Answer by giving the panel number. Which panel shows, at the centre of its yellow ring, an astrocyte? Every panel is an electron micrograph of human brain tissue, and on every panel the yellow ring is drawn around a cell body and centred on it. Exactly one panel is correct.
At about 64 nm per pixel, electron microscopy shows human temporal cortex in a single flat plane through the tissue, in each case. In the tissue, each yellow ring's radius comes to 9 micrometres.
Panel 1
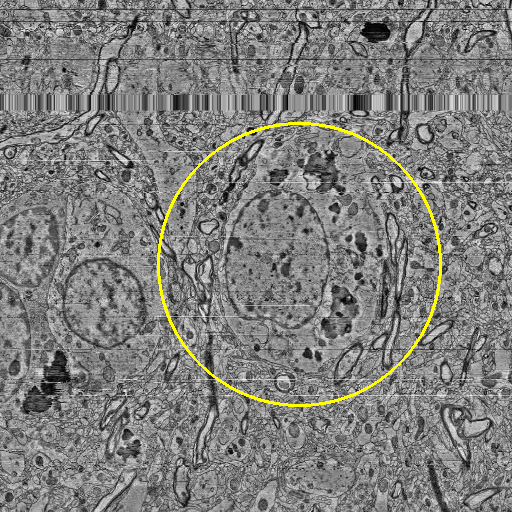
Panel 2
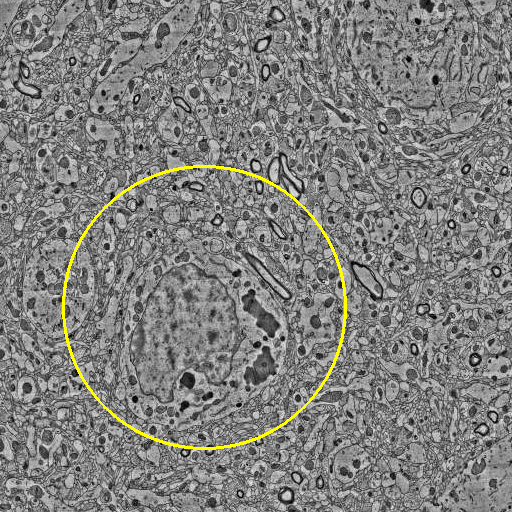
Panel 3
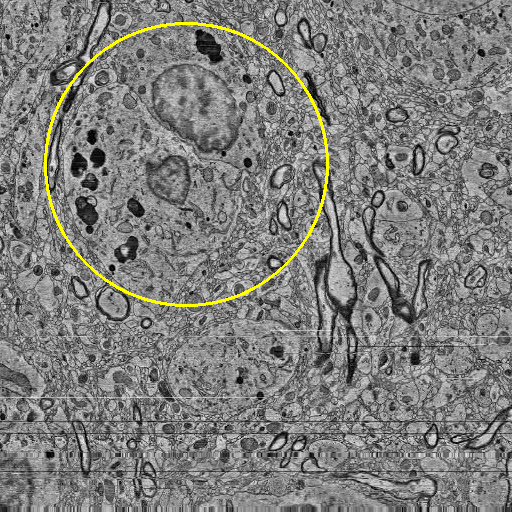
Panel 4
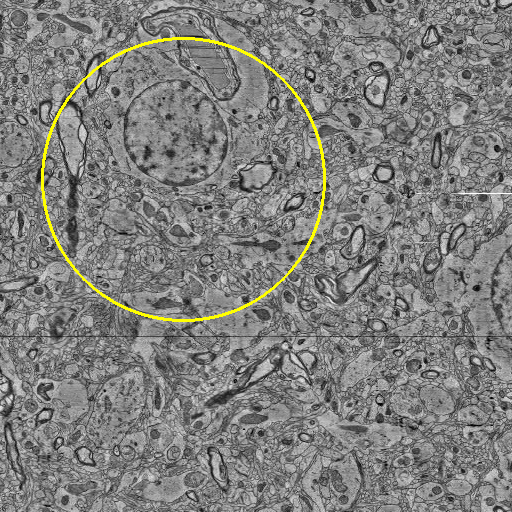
1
